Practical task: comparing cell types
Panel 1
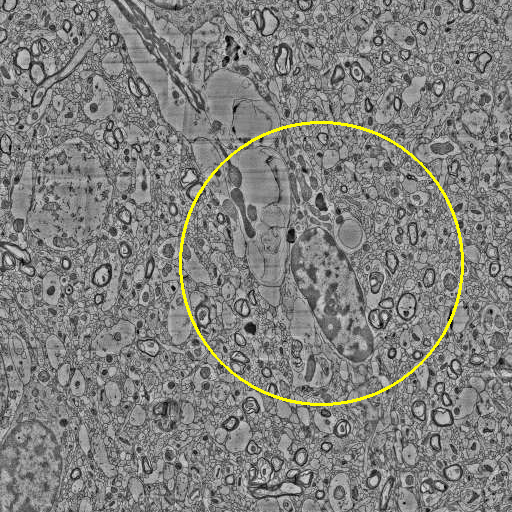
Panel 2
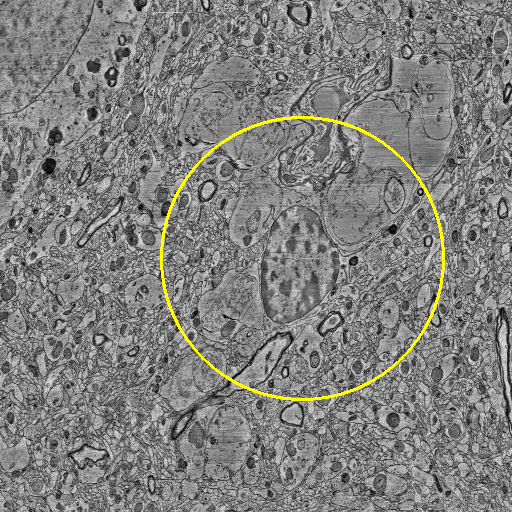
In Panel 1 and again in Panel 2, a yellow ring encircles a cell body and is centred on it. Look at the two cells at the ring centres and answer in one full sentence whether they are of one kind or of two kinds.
The two cells sitting at the ring centres of Panels 1 and 2 are of one kind.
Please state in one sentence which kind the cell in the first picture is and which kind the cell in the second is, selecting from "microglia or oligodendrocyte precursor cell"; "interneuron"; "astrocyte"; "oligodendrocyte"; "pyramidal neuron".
The second cell is a microglial cell or oligodendrocyte precursor cell, just as the first is.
